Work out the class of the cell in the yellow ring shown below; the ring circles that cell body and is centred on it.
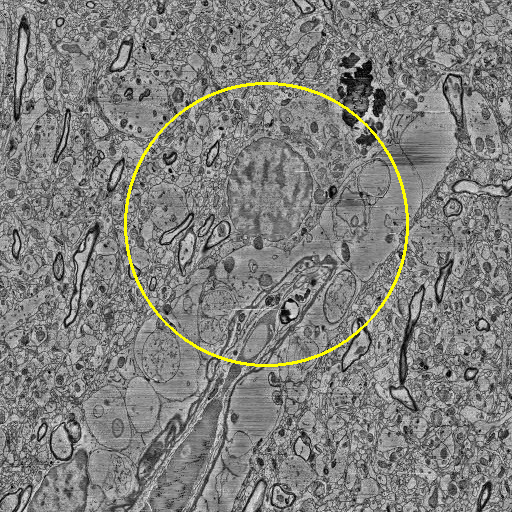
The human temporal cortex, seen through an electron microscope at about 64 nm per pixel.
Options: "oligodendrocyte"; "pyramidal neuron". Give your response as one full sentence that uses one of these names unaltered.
The body ringed in yellow, right at the ring's centre, is that of an oligodendrocyte.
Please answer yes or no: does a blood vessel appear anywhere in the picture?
Yes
